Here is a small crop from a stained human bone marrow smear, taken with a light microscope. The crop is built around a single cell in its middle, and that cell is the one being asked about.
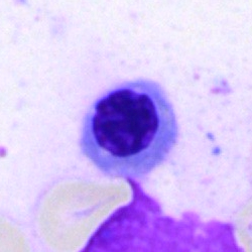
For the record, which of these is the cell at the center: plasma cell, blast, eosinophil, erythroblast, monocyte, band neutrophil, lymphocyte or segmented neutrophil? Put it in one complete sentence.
The cell shown in the center of this light-microscope crop is an erythroblast.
